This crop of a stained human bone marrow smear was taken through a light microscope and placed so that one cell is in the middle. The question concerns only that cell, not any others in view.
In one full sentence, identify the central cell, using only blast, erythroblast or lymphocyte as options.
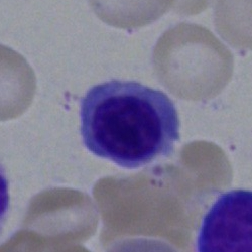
Present in the middle of the crop is an erythroblast.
